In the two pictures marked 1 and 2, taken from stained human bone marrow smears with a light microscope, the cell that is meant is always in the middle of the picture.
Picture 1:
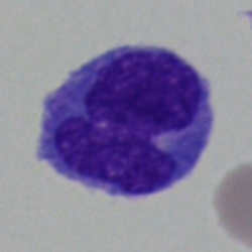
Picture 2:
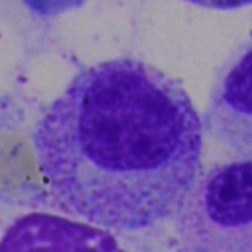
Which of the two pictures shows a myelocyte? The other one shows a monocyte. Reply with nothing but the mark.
2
